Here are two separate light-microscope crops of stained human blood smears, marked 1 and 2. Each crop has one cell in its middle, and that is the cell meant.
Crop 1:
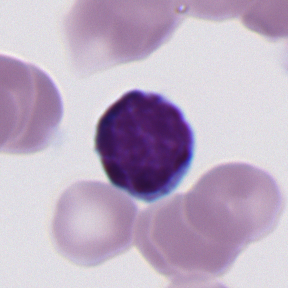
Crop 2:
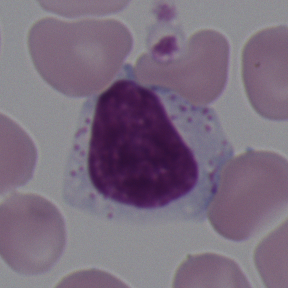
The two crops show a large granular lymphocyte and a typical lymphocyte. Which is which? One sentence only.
Crop 1 is labelled a typical lymphocyte, and crop 2 is labelled a large granular lymphocyte.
